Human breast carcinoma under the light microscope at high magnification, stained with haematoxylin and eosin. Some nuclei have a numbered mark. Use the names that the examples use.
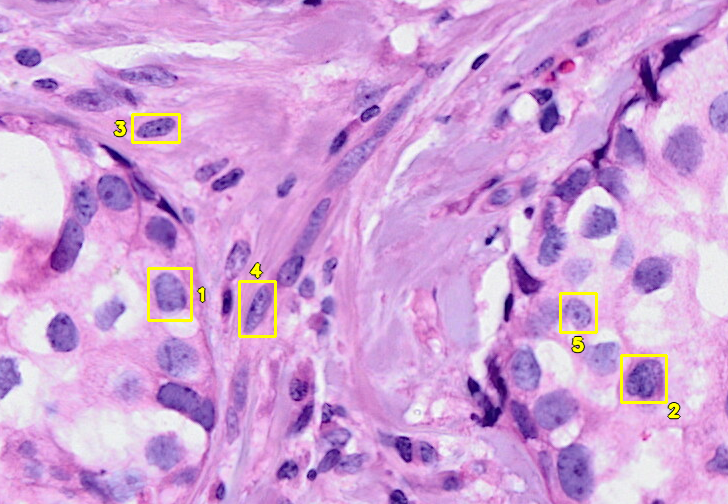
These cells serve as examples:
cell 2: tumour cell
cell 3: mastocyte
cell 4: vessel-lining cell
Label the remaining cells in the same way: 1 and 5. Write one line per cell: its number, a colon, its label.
1: tumour cell
5: tumour cell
